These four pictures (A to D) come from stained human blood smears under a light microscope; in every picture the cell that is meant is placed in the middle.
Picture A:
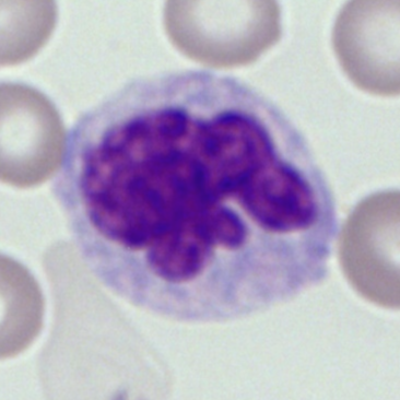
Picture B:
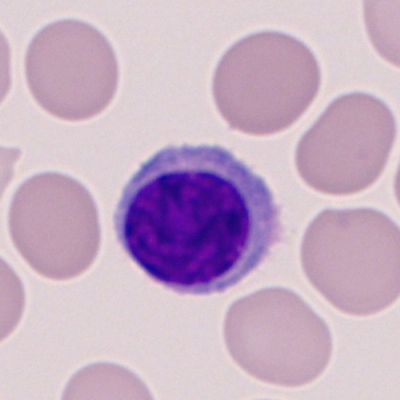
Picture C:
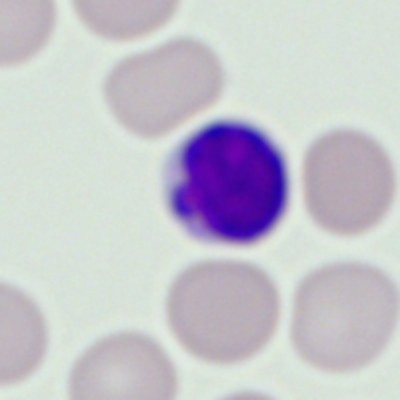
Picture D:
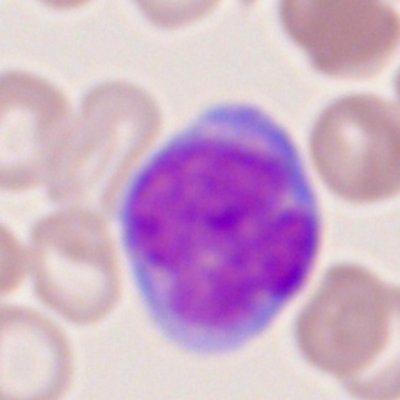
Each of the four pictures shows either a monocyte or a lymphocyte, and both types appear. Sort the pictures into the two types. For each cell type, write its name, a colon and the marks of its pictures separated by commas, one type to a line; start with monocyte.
monocyte: A, D
lymphocyte: B, C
